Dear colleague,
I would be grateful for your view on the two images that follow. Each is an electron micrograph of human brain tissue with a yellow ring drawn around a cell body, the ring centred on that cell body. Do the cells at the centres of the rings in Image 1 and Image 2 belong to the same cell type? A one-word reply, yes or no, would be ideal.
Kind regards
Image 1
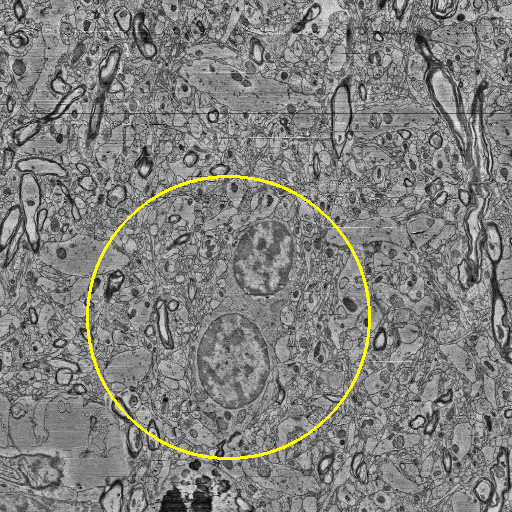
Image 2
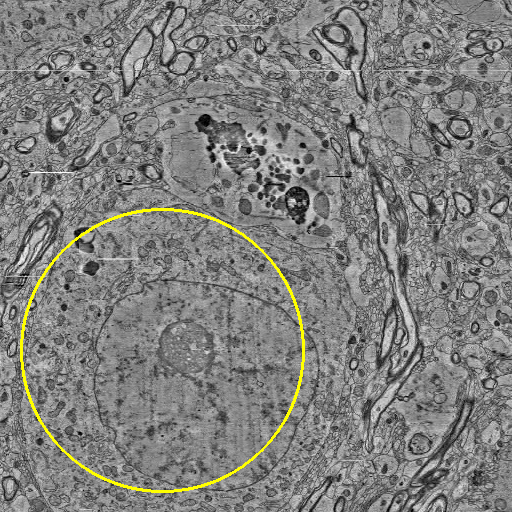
no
